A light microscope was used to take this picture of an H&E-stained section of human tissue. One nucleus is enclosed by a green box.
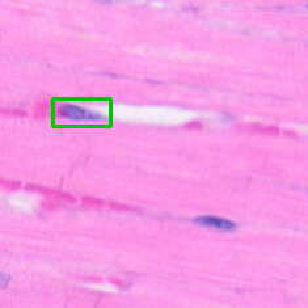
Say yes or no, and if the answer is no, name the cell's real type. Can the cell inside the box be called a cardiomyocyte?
No, it is an endothelial cell.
